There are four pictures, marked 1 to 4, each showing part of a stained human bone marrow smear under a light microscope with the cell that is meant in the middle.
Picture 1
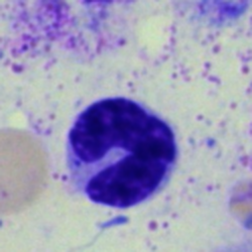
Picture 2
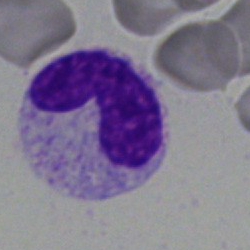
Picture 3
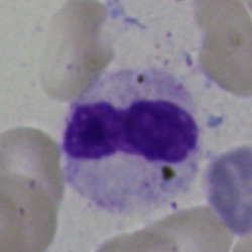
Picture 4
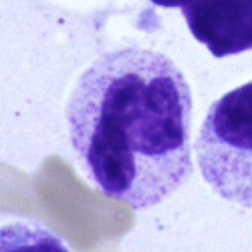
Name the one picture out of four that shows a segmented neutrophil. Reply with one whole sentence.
The segmented neutrophil is the one in picture 4.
